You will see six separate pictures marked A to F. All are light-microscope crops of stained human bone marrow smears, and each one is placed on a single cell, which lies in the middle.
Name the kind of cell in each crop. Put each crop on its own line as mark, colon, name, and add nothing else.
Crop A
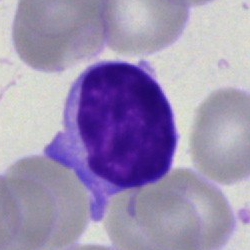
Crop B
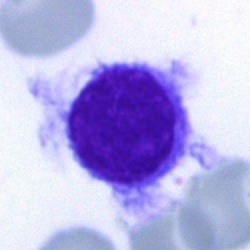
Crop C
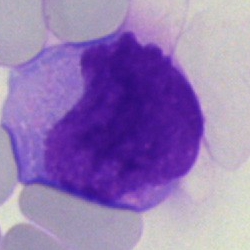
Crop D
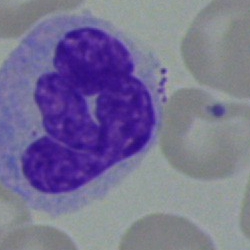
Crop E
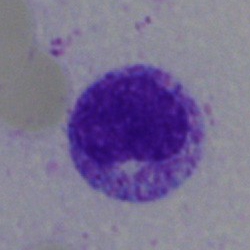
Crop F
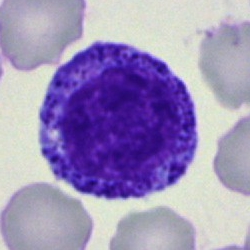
A: lymphocyte
B: hairy cell
C: blast
D: monocyte
E: metamyelocyte
F: promyelocyte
